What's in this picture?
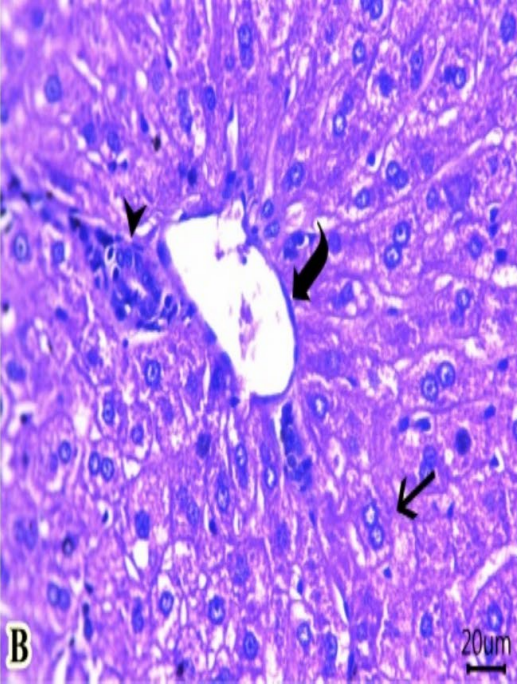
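This is liver tissue, with polygonal liver cells arranged in cords that radiate from a large vessel with a wide empty lumen. The liver cells have pink, finely granular to slightly vacuolated cytoplasm and round central nuclei with nucleoli, and several of them hold two nuclei. Narrow pale sinusoidal spaces separate the cords. Beside the vessel lies a small cluster of much smaller cells with dark nuclei forming a bile duct.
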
